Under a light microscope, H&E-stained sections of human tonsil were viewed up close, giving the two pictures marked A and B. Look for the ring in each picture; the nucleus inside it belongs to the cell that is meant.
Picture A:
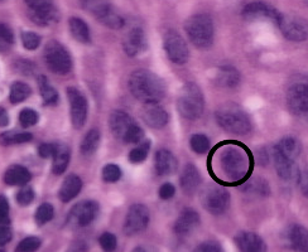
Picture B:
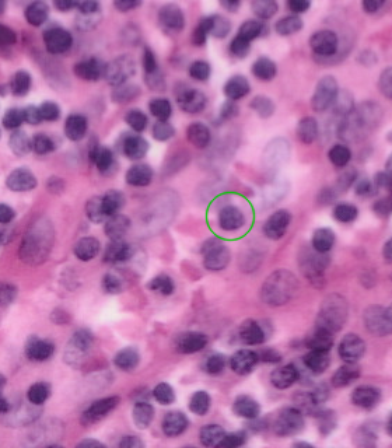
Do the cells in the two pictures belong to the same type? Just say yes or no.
no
